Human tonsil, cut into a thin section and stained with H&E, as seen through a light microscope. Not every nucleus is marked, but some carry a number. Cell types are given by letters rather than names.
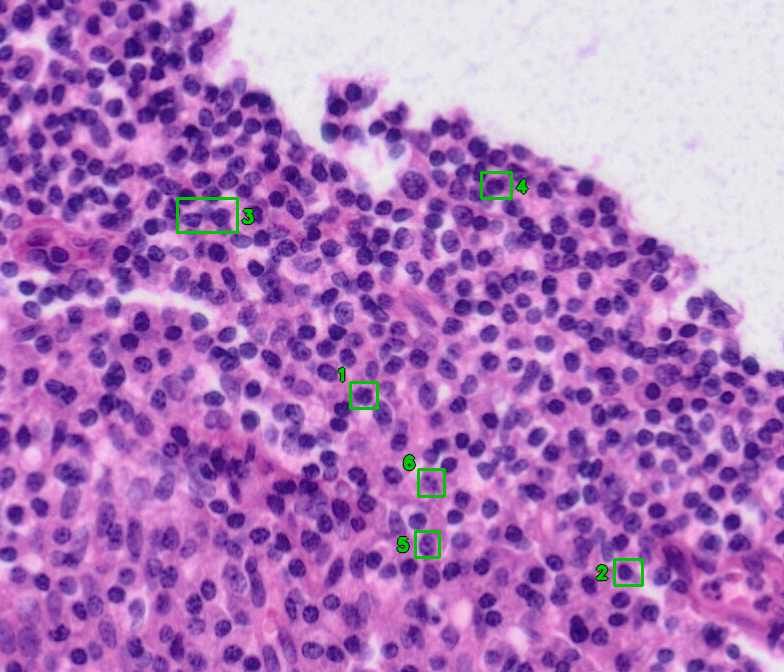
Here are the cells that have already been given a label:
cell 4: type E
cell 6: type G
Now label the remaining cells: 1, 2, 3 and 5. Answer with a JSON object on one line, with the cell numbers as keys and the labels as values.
{"1": "type G", "2": "type G", "3": "type E", "5": "type G"}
